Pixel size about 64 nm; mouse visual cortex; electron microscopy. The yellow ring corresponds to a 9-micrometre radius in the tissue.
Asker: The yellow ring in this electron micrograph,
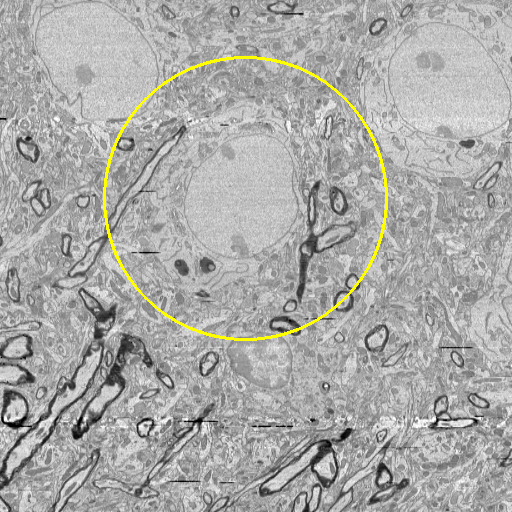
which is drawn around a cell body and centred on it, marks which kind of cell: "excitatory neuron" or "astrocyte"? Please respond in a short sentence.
The marked cell is an excitatory neuron.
